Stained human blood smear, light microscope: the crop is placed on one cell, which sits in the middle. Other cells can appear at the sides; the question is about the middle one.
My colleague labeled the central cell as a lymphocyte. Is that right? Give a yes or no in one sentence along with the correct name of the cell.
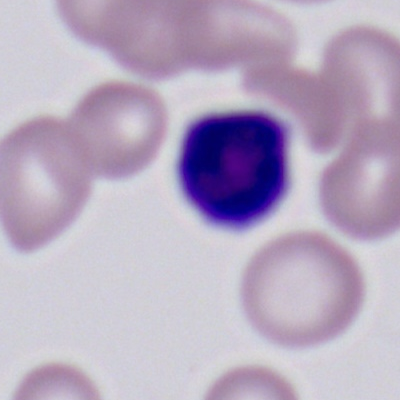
Yes, the cell right in the middle is a lymphocyte.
